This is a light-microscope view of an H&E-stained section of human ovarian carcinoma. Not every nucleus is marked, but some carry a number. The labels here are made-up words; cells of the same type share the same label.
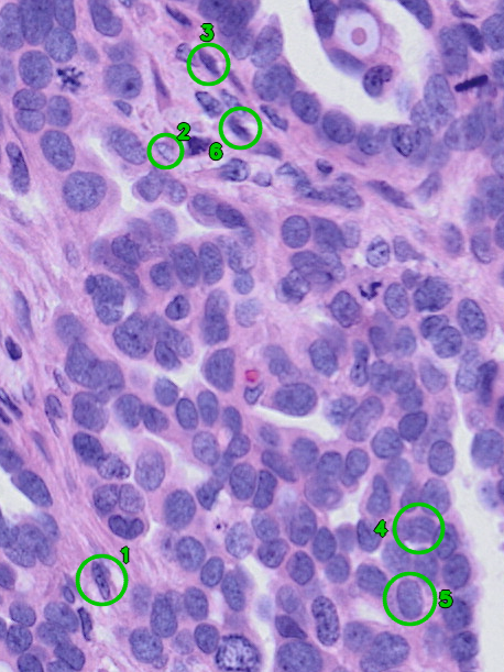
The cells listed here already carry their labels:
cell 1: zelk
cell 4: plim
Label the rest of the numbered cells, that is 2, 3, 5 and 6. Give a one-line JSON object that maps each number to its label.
{"2": "zelk", "3": "zelk", "5": "plim", "6": "zelk"}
